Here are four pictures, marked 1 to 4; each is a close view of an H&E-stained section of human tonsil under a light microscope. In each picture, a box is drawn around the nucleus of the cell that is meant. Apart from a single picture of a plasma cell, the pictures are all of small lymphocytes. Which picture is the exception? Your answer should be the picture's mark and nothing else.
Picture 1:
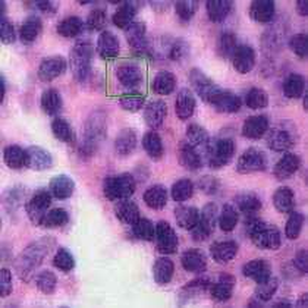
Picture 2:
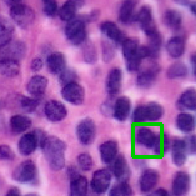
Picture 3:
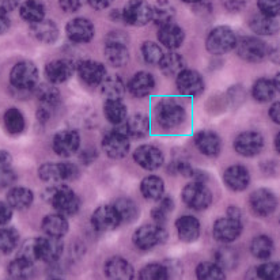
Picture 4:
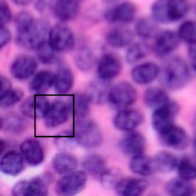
3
